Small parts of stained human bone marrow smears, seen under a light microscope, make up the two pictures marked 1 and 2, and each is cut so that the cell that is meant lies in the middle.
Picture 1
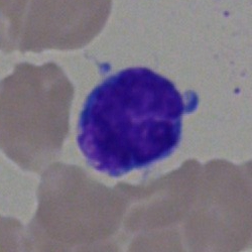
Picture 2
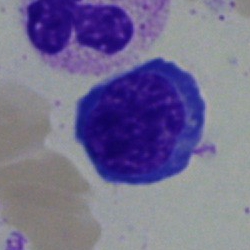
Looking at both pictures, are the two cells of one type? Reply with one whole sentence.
No. Picture 1 shows a lymphocyte, but picture 2 shows an erythroblast.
